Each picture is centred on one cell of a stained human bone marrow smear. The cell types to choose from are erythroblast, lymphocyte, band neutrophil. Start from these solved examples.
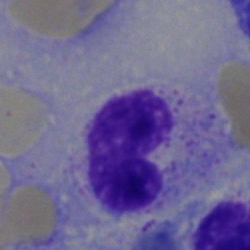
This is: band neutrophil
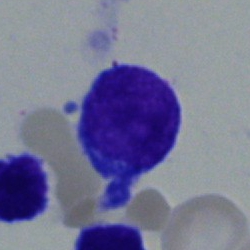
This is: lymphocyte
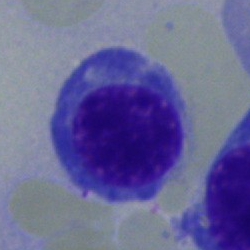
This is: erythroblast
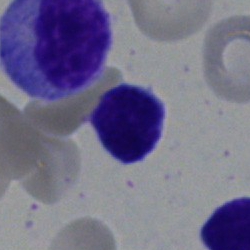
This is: lymphocyte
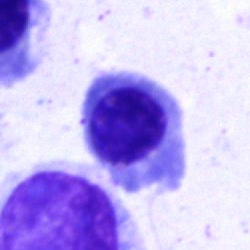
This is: erythroblast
